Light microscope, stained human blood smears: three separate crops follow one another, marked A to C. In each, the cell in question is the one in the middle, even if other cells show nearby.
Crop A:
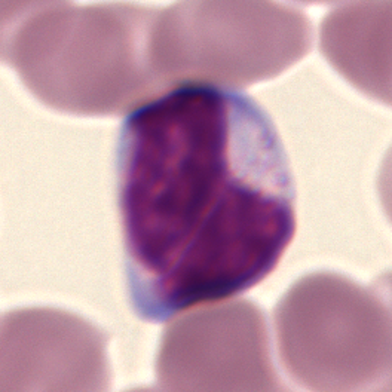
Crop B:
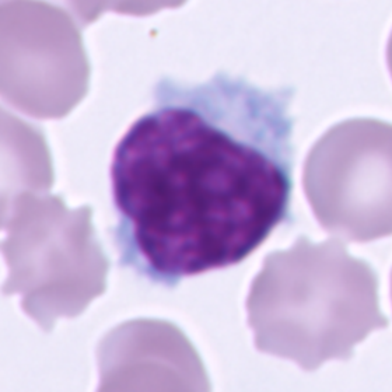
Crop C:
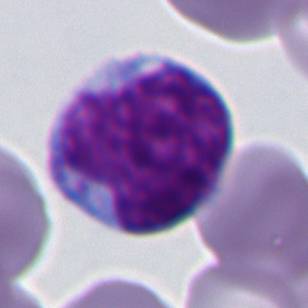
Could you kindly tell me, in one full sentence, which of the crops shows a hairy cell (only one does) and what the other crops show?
The centred cell in crop B is a hairy cell; meanwhile, crop A is a large granular lymphocyte and crop C is a typical lymphocyte.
